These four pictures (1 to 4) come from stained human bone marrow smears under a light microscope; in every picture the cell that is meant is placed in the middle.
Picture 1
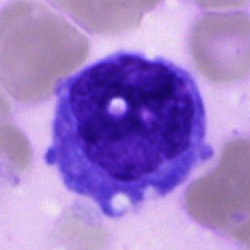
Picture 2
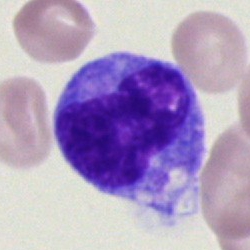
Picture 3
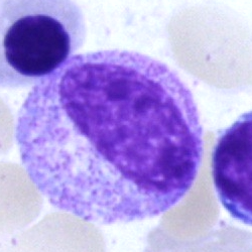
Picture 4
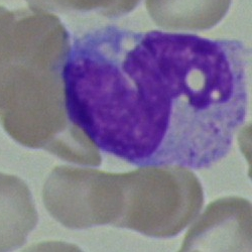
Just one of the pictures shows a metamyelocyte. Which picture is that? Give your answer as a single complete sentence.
Picture 3 shows the metamyelocyte.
